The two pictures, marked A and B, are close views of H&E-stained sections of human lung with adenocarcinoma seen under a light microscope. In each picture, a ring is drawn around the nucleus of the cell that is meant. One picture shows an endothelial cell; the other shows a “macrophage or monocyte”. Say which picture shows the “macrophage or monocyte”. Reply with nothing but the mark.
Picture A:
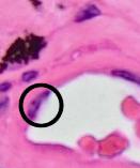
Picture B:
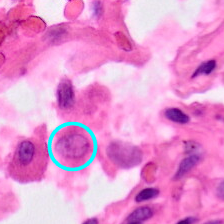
B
